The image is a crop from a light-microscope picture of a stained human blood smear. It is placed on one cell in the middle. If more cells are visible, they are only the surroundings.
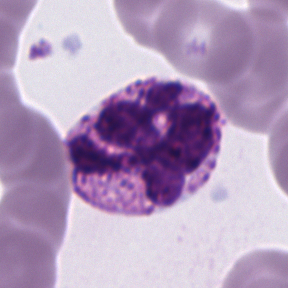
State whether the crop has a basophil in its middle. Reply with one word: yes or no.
yes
